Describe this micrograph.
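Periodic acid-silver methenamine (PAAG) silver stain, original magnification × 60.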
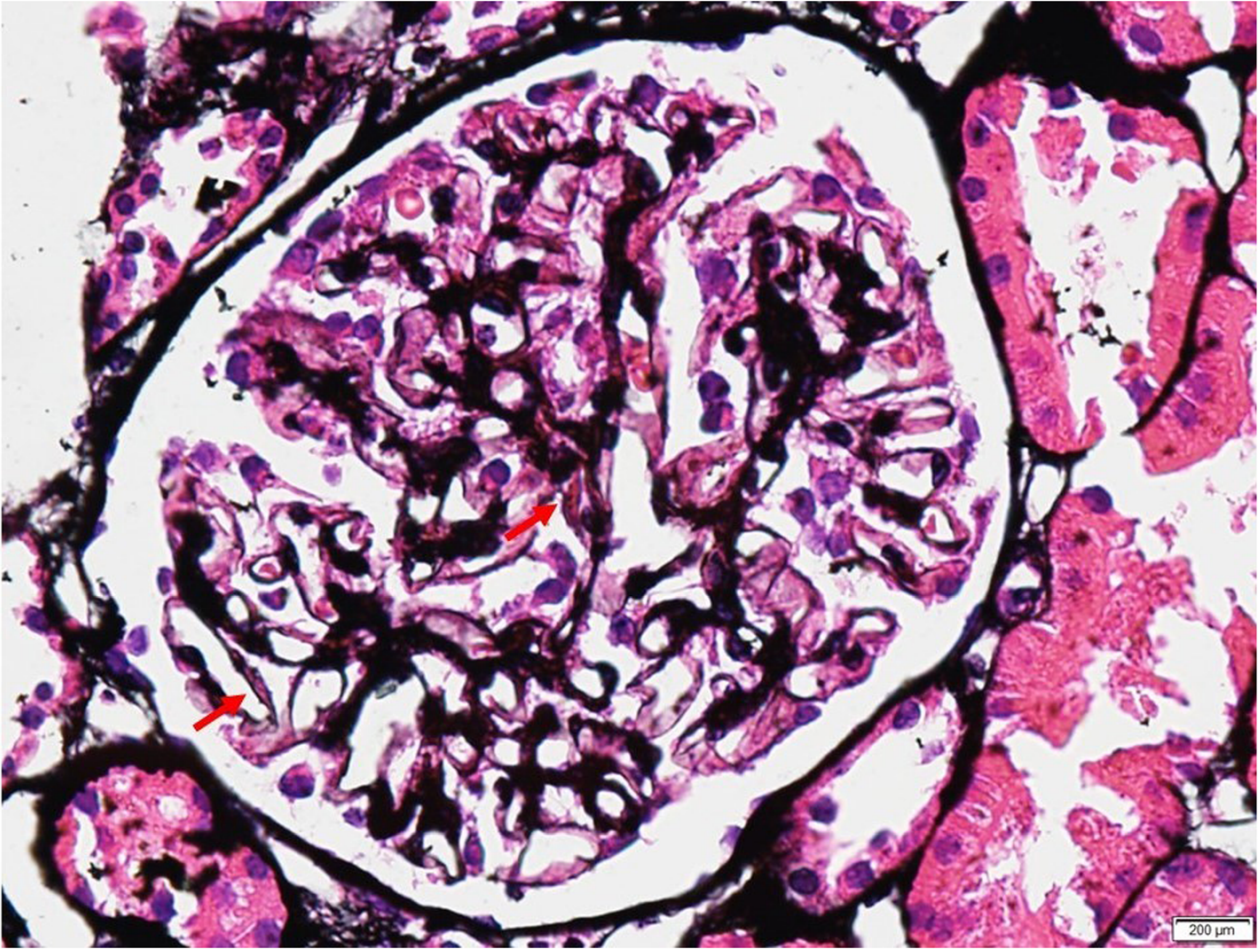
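A renal glomerulus fills the centre, its lobulated capillary tuft outlined by black-staining basement membranes and surrounded by a clear urinary space and a thick black Bowman's capsule. Many capillary loop walls are thickened and irregular, and several show a doubled contour: two parallel black lines separated by a pale band, giving a track-like appearance. Purple nuclei of cells lie within the tuft between the loops, and a few red blood cells sit in capillary lumens. Around the glomerulus lie cross-sectioned tubules with pink cytoplasm, round purple nuclei and black-outlined tubular basement membranes.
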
